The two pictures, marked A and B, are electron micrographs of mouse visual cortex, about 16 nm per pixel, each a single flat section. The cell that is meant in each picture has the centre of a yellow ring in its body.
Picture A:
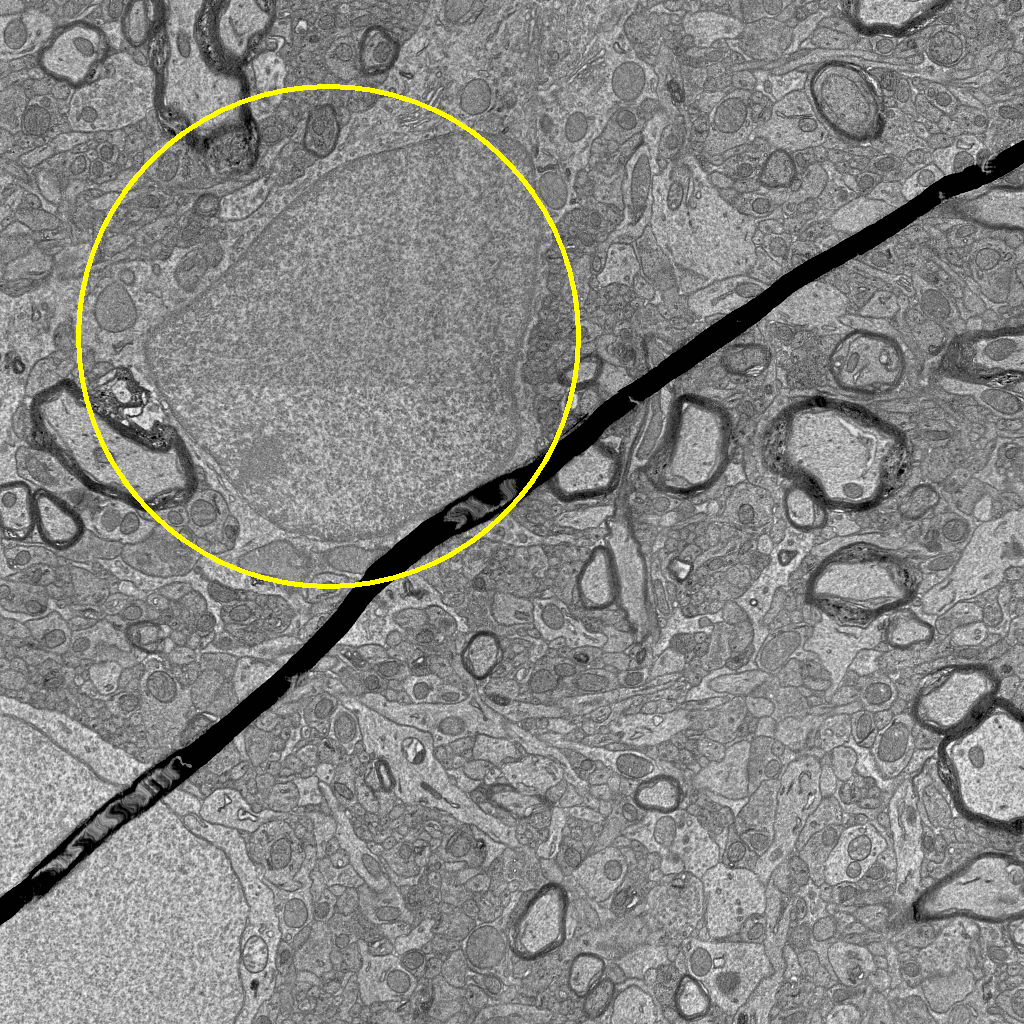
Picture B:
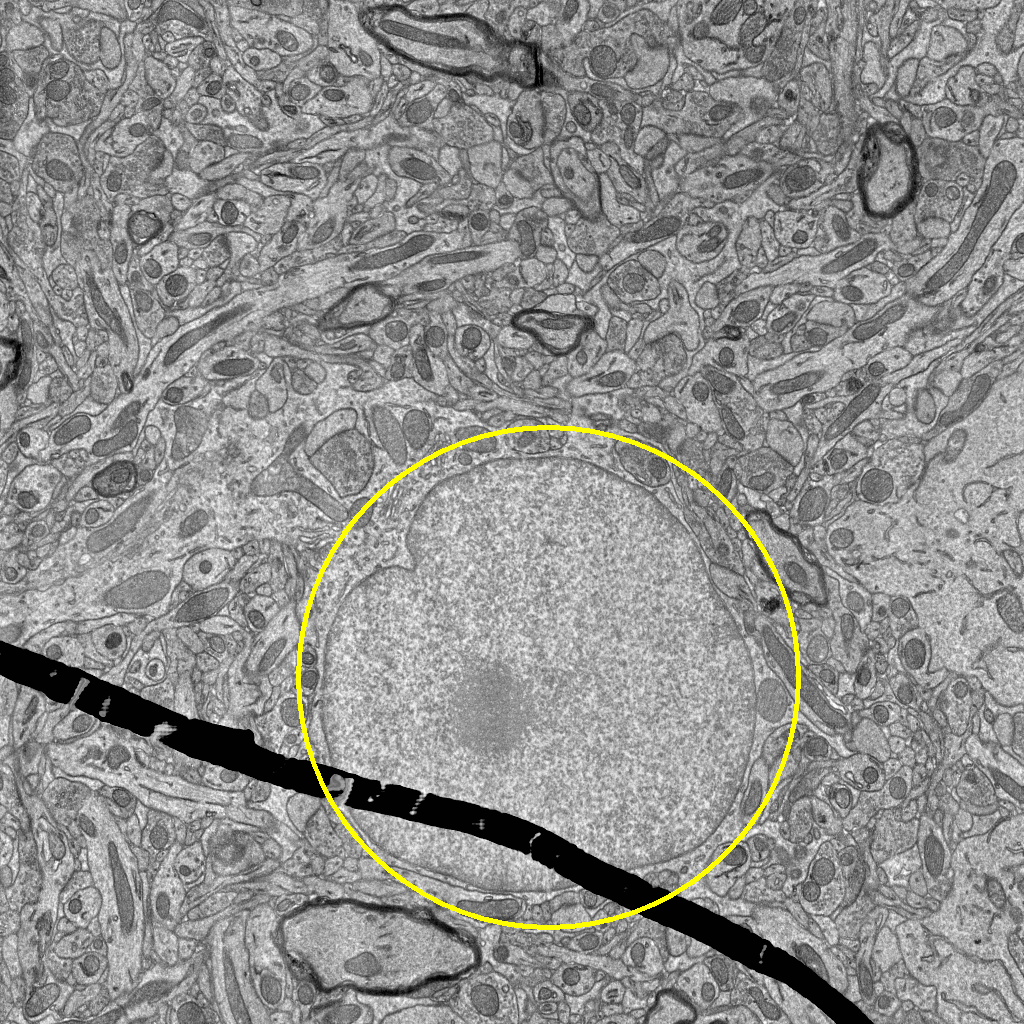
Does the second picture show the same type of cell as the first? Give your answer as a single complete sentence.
Yes, both are astrocytes.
